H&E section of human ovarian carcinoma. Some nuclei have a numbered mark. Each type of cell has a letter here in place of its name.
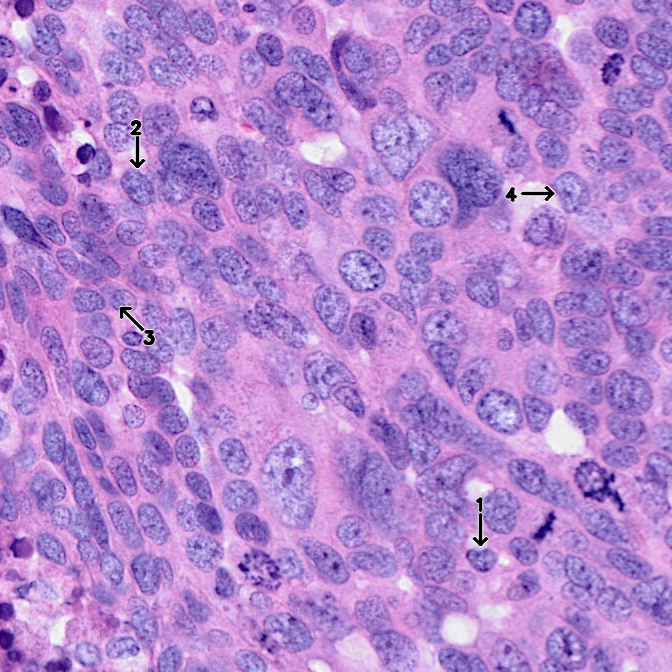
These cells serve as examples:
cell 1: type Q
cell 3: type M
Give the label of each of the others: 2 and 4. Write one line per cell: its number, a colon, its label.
2: type M
4: type M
